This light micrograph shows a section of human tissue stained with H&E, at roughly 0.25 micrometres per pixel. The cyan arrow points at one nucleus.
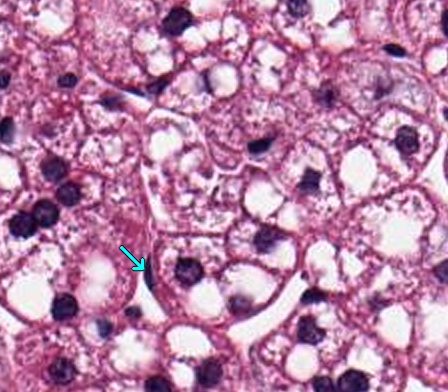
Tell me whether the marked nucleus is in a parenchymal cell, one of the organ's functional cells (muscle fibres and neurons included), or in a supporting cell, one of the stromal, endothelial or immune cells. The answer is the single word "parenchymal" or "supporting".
supporting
